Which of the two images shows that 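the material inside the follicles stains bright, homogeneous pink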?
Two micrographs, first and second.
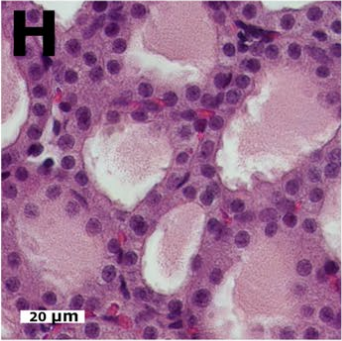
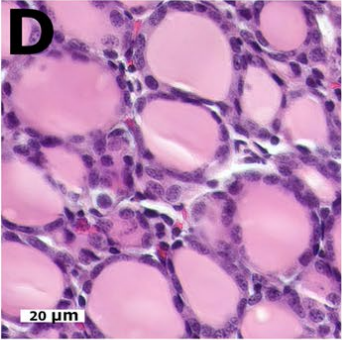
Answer: The second image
